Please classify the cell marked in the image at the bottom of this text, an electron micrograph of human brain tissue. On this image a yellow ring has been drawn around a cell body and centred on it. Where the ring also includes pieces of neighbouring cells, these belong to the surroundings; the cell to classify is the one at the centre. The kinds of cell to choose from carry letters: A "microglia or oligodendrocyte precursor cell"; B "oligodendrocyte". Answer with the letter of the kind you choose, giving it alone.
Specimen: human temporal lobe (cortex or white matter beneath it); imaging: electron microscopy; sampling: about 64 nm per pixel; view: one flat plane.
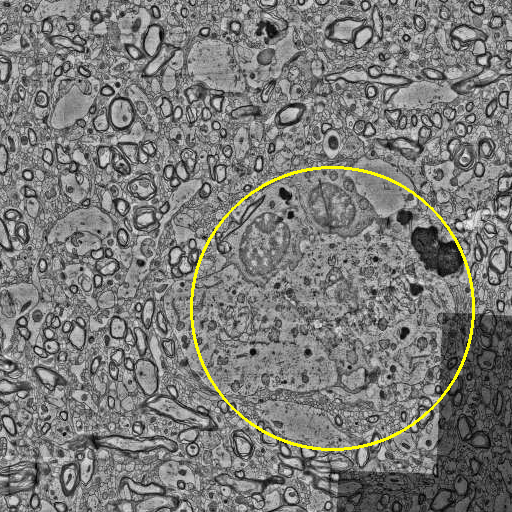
B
